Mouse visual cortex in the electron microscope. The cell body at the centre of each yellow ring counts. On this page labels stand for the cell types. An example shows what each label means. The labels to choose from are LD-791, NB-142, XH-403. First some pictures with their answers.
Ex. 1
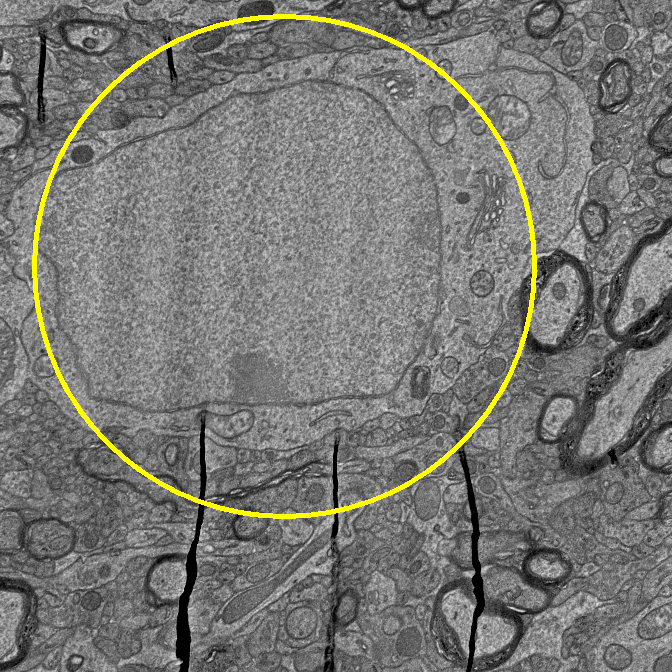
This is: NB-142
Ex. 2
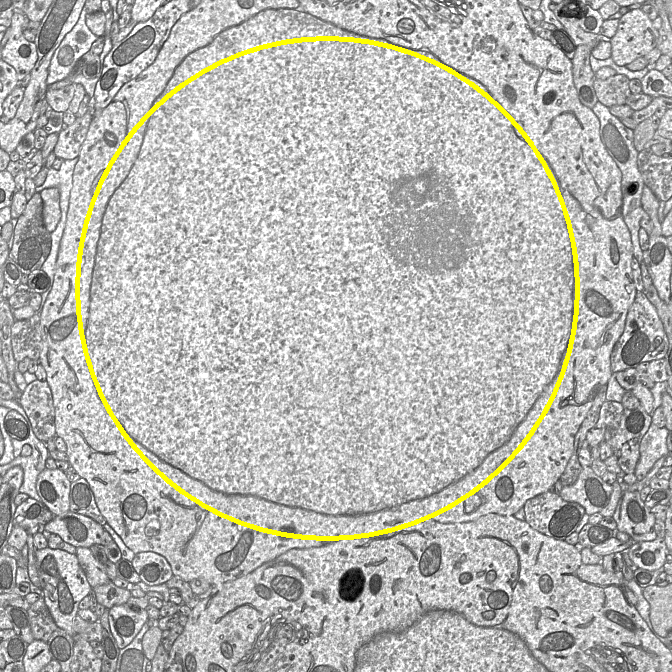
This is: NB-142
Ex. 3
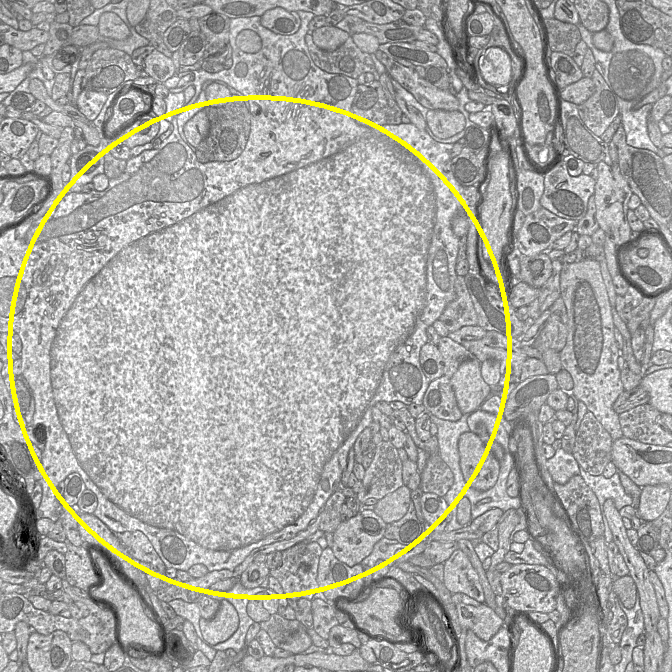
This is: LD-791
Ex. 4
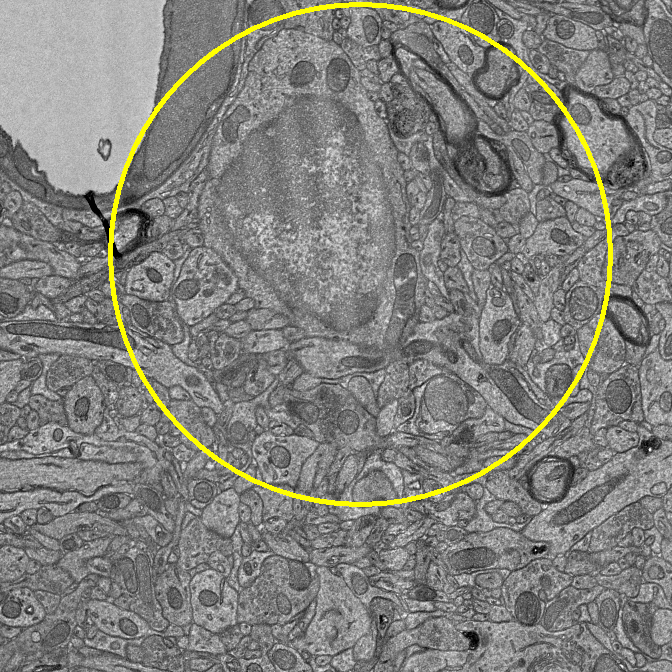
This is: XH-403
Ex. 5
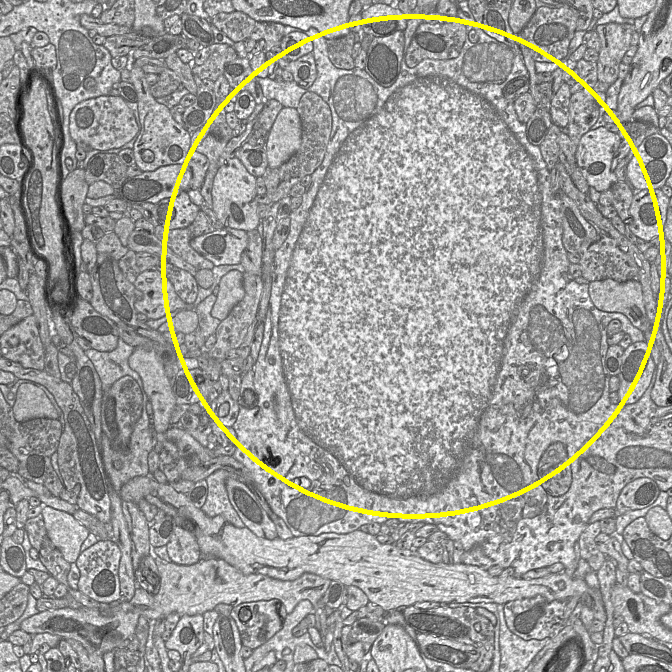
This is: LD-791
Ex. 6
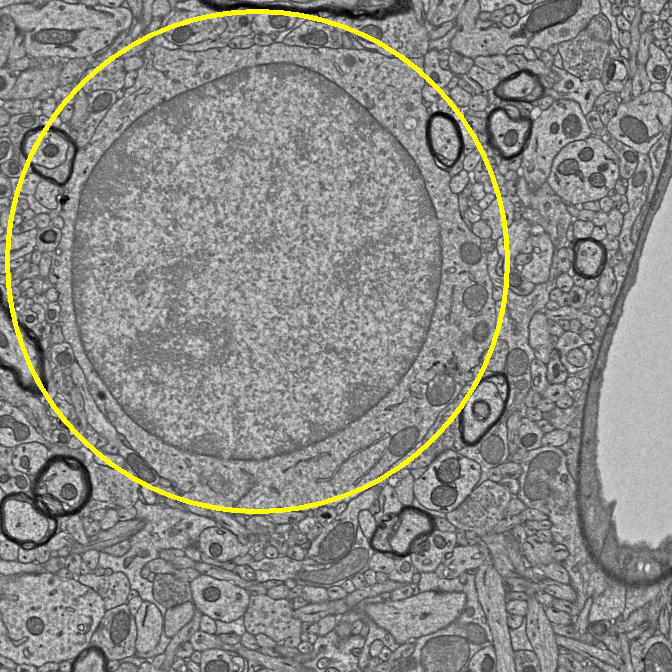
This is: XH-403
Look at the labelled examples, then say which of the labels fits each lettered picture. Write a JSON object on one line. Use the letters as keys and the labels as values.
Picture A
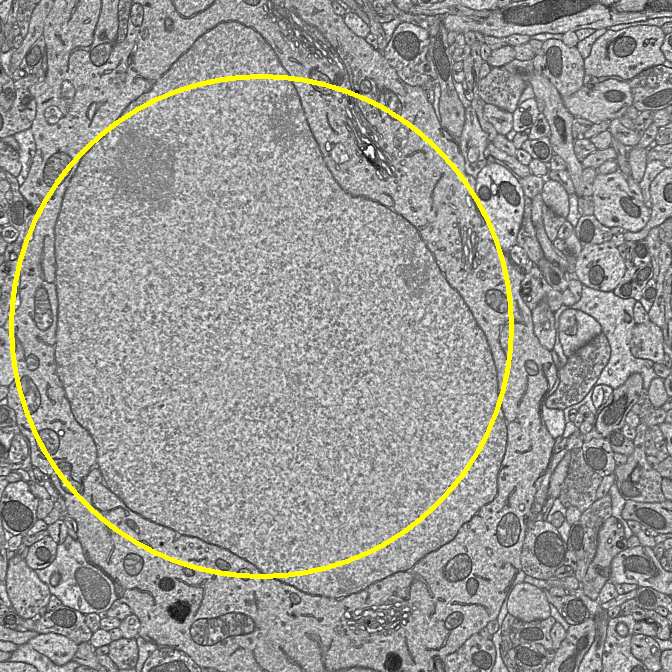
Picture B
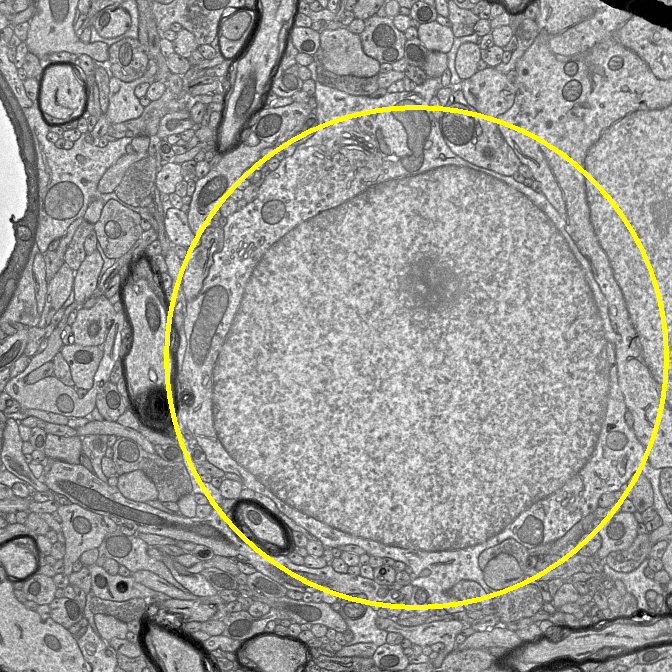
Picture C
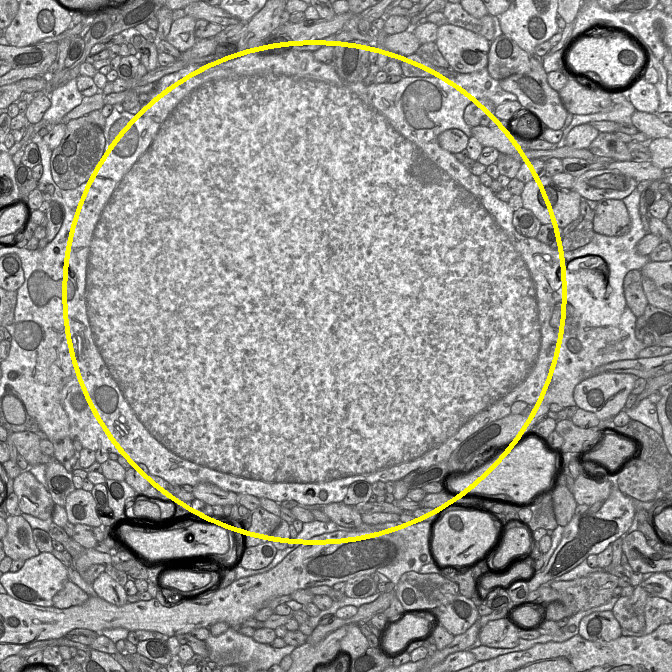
{"A": "NB-142", "B": "LD-791", "C": "LD-791"}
